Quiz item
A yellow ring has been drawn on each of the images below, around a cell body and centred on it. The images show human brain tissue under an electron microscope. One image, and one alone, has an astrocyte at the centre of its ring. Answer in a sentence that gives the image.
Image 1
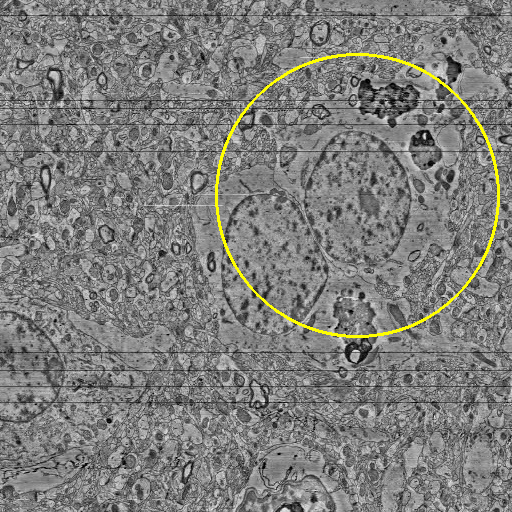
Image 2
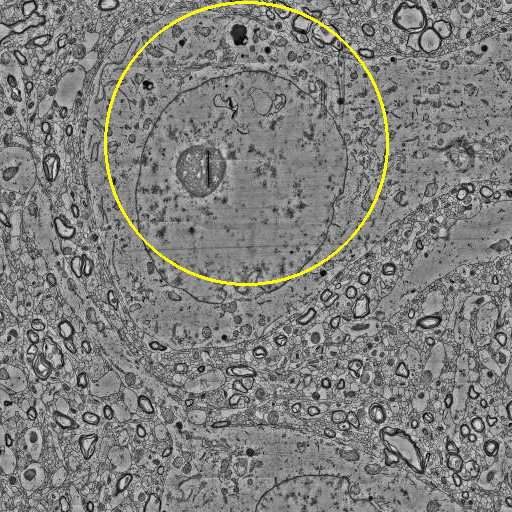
Image 1 shows it at the centre of the ring.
